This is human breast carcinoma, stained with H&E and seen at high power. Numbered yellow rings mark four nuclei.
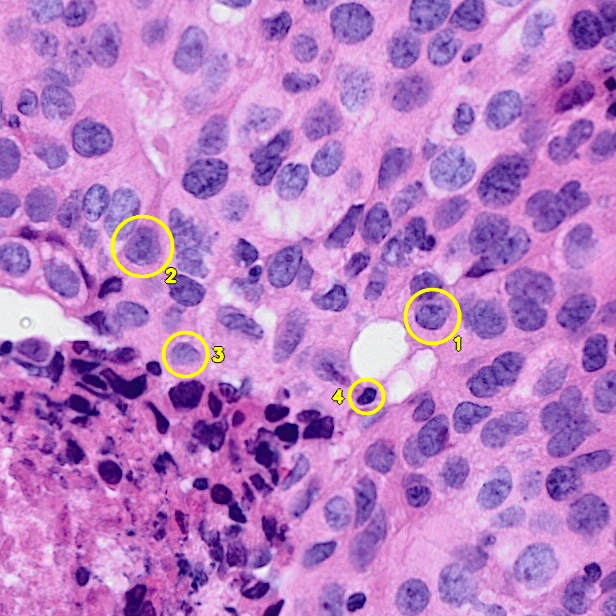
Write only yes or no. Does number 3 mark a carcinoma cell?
yes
